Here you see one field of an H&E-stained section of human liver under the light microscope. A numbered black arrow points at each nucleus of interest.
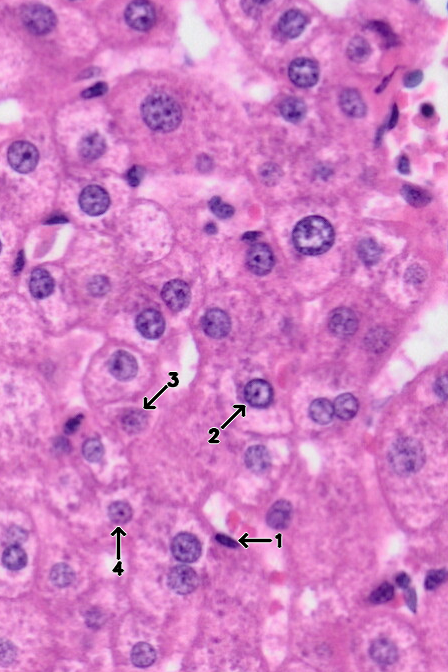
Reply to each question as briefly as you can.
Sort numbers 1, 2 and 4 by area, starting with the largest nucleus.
2, 4, 1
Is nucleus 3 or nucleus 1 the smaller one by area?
1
